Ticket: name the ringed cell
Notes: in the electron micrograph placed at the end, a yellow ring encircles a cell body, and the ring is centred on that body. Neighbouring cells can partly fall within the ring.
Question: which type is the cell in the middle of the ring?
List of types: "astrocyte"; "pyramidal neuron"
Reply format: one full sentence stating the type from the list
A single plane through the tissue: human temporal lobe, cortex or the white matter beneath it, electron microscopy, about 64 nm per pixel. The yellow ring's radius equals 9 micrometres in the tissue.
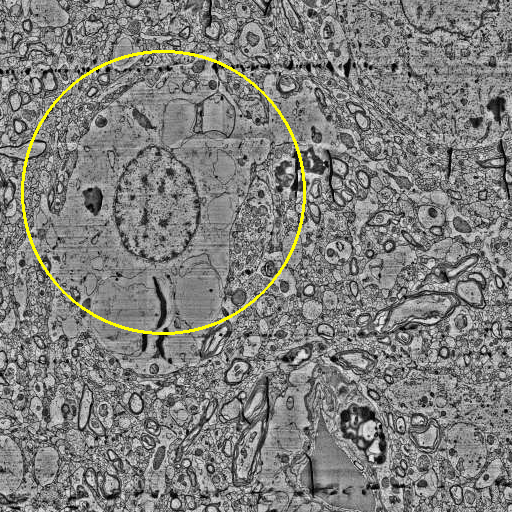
The cell sitting at the centre of the yellow ring is an astrocyte.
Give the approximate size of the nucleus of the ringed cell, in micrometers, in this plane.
In this plane, the nucleus of the cell at the centre of the ring measures about 7 by 5 micrometres.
